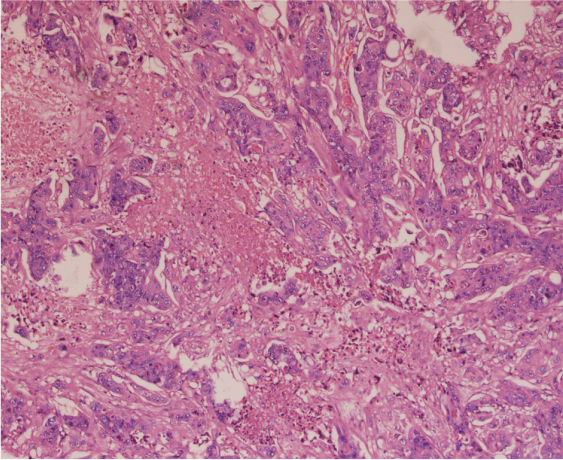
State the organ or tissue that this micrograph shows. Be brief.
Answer: Tumor tissues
